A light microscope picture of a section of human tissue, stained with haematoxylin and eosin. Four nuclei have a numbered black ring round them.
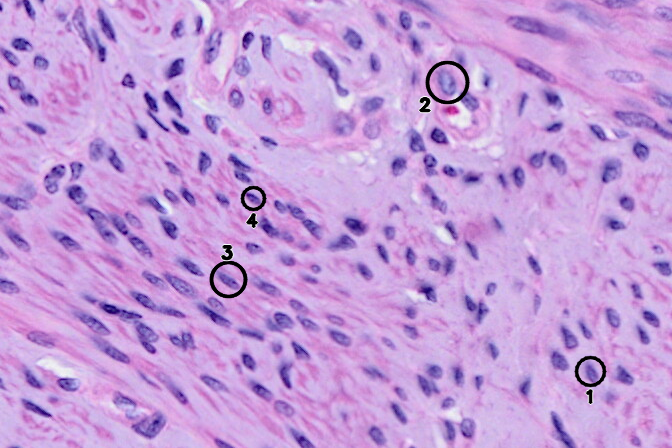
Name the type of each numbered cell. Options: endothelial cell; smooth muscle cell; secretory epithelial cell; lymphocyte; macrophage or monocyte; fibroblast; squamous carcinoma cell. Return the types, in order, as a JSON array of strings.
["smooth muscle cell", "endothelial cell", "smooth muscle cell", "smooth muscle cell"]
